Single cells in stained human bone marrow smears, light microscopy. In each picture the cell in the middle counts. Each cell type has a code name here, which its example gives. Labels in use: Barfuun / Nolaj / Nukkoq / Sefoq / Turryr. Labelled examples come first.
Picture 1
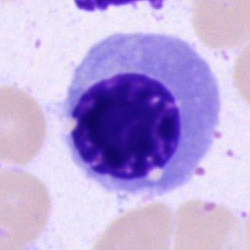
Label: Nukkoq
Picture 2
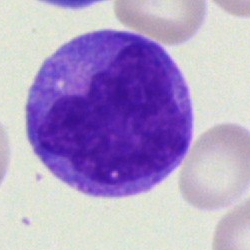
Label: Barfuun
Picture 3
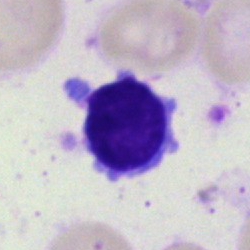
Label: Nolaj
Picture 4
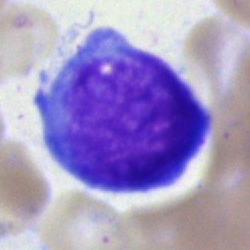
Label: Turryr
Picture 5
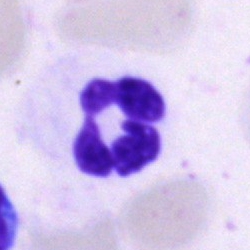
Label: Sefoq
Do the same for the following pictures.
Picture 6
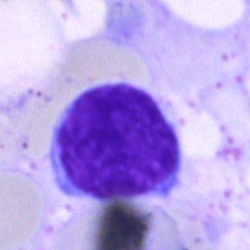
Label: Nolaj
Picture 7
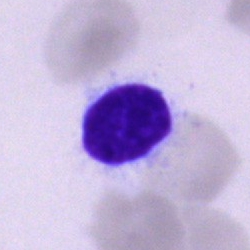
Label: Nolaj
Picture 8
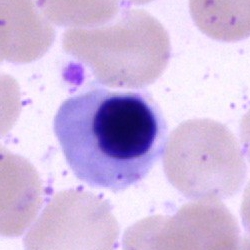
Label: Nukkoq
